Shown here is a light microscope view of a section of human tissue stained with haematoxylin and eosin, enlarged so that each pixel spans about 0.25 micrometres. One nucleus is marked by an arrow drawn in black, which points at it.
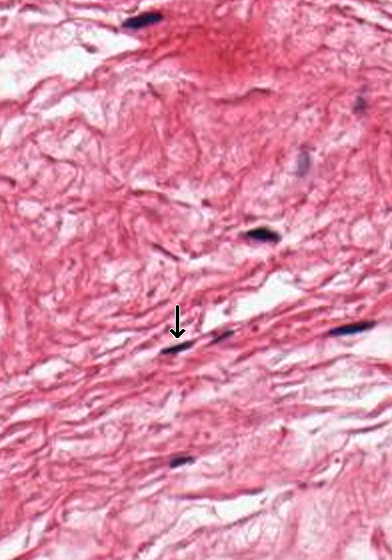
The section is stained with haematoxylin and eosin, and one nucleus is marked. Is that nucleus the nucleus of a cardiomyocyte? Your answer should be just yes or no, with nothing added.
no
